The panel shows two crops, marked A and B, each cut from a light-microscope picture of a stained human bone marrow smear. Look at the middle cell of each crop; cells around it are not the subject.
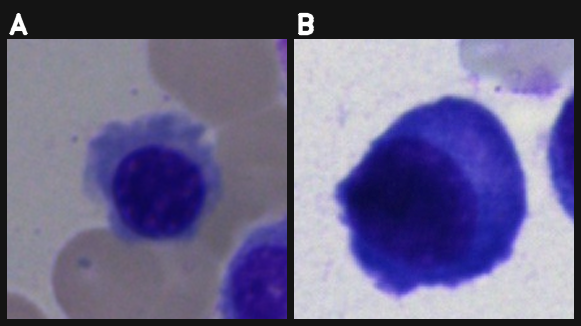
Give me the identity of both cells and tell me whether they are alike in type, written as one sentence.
No, crop A carries a normoblast at its centre, and crop B carries a plasma cell.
